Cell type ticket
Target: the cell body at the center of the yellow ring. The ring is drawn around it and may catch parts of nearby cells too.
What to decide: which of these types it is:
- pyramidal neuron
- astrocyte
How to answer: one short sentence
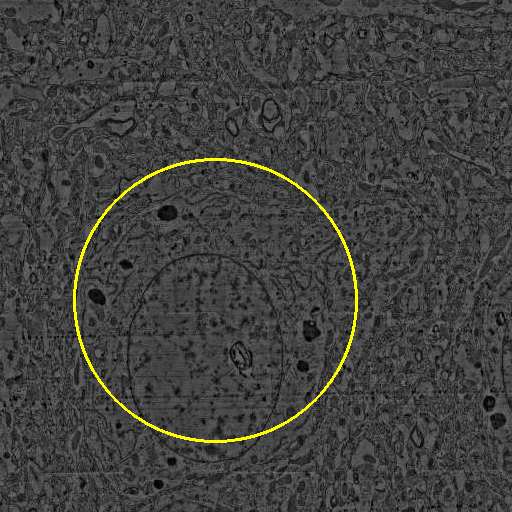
The cell at the center of the ring is a pyramidal neuron.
